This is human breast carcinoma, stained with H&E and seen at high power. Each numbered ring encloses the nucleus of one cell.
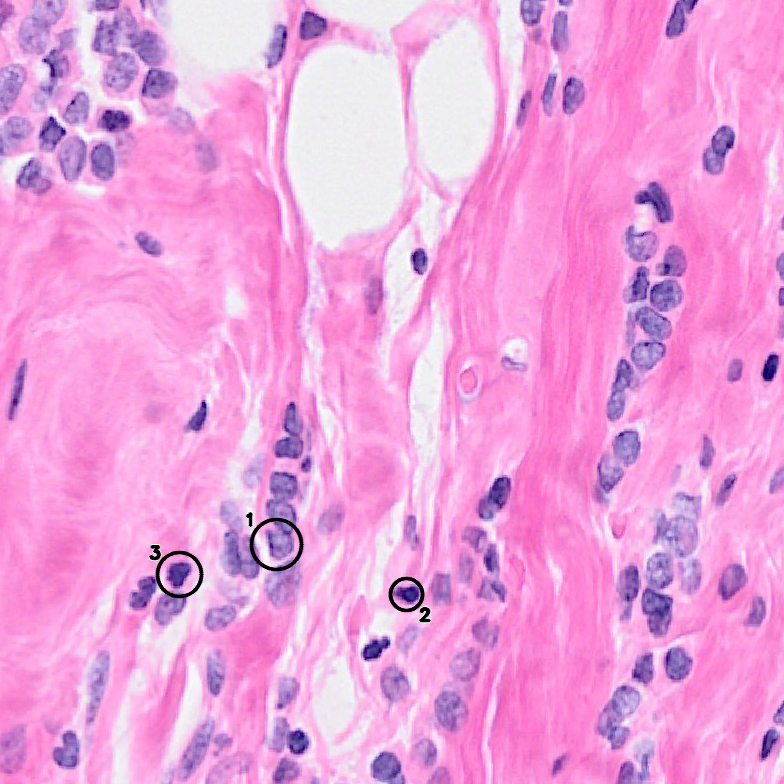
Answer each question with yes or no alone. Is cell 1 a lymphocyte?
no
